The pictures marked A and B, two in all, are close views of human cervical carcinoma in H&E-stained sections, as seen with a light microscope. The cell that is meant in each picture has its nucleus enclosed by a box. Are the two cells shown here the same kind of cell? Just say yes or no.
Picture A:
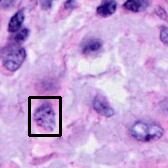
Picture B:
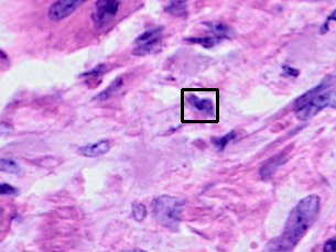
no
